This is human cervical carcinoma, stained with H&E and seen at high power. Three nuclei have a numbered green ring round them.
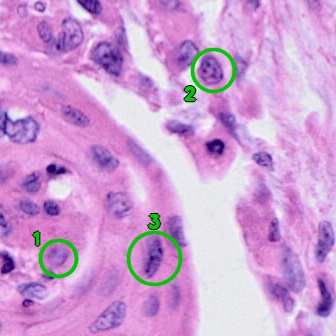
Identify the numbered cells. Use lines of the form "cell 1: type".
cell 1: squamous carcinoma cell
cell 2: macrophage or monocyte
cell 3: squamous carcinoma cell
